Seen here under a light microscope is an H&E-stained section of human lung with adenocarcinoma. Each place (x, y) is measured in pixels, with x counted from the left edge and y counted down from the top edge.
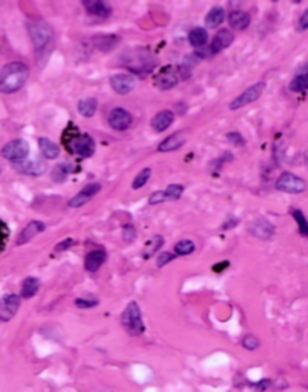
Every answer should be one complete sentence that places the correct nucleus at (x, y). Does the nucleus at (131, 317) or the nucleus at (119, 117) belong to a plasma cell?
Only the nucleus at (119, 117), of the two, belongs to a plasma cell.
